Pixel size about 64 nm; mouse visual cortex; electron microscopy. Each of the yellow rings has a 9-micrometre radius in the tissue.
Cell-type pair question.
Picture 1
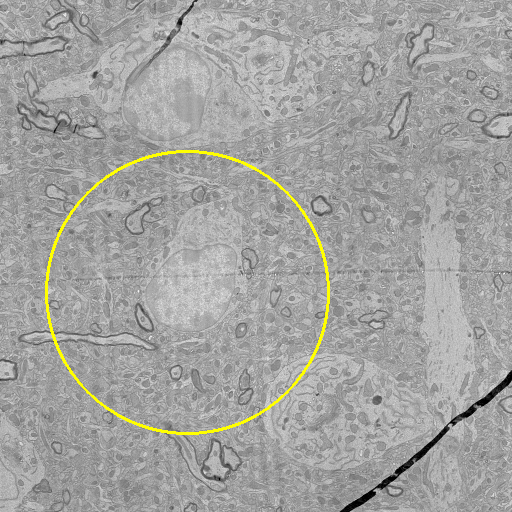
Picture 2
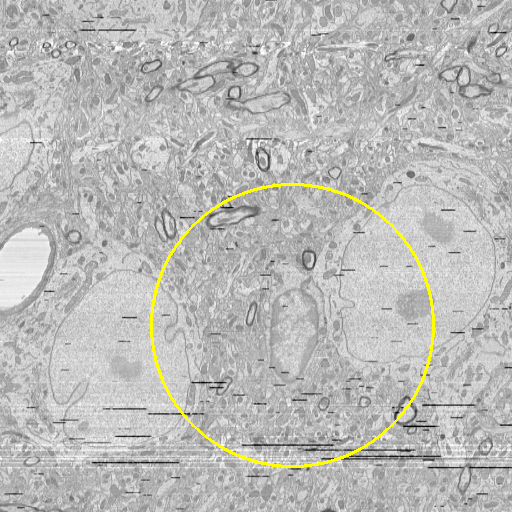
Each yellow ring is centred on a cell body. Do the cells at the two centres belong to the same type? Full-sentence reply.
Yes, the two cells belong to the same type.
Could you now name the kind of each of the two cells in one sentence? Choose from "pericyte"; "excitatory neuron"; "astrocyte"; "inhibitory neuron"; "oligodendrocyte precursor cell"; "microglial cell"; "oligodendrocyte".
Each of the ringed cells, first and second, is an oligodendrocyte.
